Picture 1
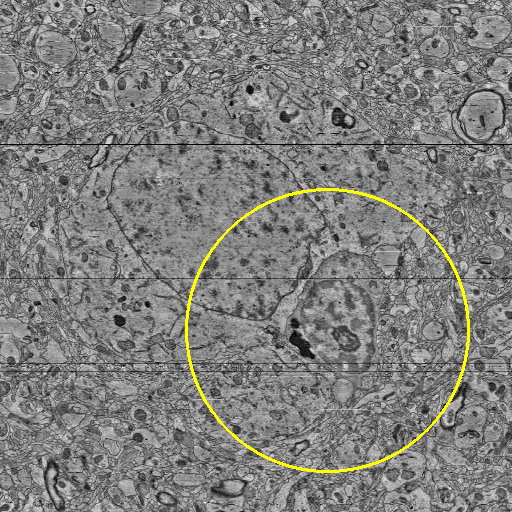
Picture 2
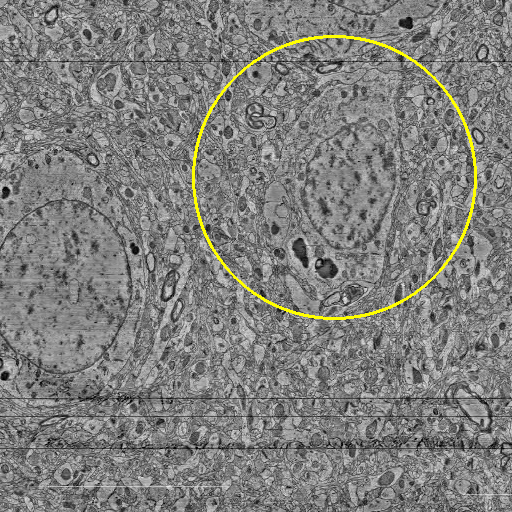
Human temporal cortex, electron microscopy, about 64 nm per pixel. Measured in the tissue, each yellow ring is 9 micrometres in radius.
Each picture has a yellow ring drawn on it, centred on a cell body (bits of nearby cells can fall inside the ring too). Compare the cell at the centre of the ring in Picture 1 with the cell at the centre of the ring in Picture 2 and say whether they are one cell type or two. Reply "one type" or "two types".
two types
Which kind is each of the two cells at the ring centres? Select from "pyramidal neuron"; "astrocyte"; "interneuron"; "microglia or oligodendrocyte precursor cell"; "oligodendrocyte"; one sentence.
The cell at the centre of the ring is an oligodendrocyte in the first picture and an interneuron in the second.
